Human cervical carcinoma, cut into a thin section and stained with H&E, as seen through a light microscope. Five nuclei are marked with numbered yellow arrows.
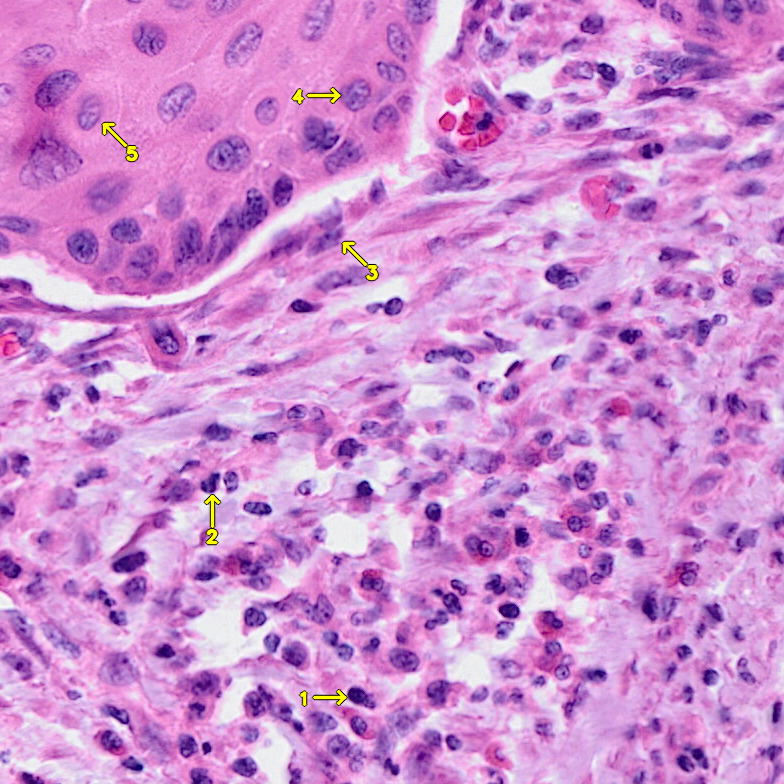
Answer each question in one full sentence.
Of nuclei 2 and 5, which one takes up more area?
Nucleus 5 is larger, with an area about 2 times that of nucleus 2.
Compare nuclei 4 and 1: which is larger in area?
Nucleus 4 covers more area, about 1.5 times as much as nucleus 1.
